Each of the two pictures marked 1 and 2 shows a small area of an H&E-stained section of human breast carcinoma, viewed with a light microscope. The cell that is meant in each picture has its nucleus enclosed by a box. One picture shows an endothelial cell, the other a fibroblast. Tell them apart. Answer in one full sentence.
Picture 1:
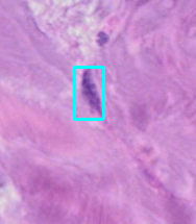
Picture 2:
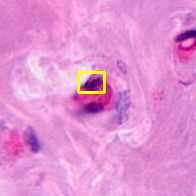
The cell in picture 1 is a fibroblast, and the one in picture 2 is an endothelial cell.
